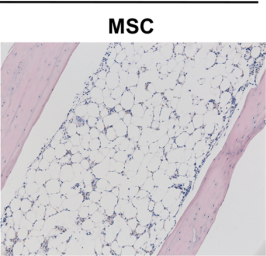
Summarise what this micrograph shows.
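This section of bone marrow lying between pink cortical bone is severely hypocellular. The marrow cavity is dominated by empty, round, clear vacuoles, with only thin strands and scattered small blue nuclei between them, and no dense sheets of blood-forming cells remain.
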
